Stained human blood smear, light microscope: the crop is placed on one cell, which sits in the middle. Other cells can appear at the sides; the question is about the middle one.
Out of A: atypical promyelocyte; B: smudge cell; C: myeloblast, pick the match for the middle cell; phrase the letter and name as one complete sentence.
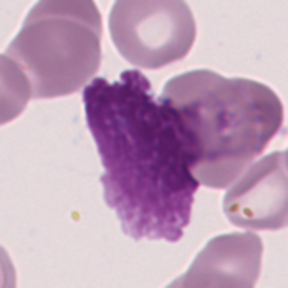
The correct option, B, names the middle cell as a smudge cell.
